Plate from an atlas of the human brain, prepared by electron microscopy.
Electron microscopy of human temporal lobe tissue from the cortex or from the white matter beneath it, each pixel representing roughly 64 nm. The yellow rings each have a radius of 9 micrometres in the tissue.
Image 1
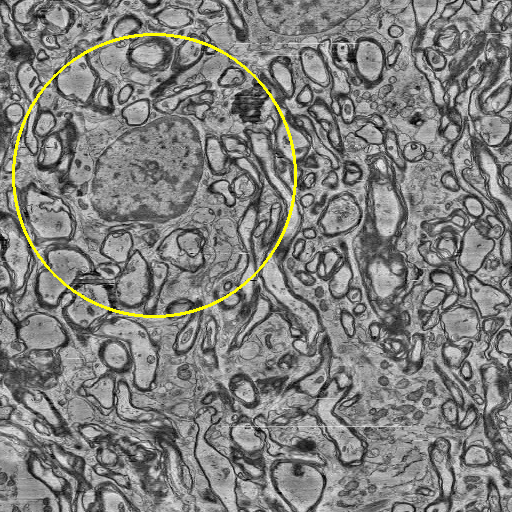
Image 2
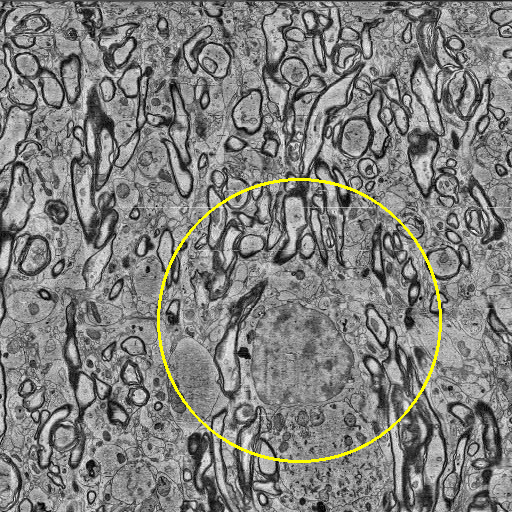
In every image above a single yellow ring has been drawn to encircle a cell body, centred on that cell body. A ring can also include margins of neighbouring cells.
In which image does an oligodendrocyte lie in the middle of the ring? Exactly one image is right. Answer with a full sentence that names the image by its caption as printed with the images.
Image 2 holds the requested cell at the very centre of its ring.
